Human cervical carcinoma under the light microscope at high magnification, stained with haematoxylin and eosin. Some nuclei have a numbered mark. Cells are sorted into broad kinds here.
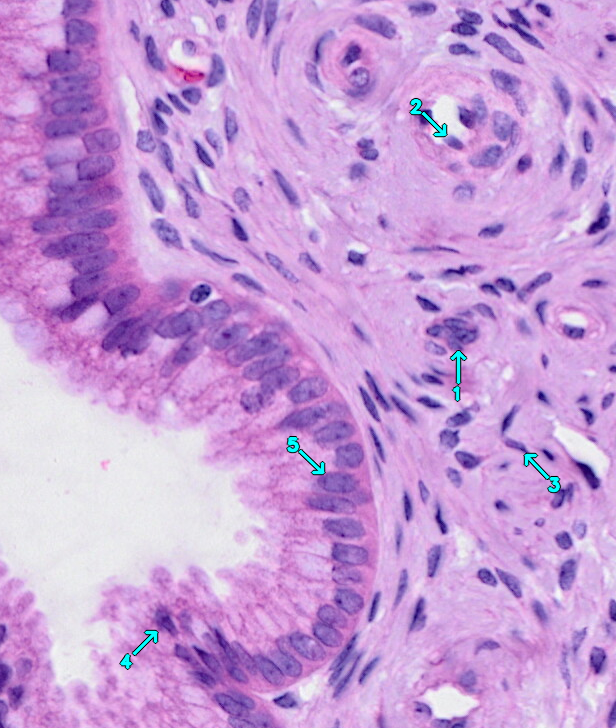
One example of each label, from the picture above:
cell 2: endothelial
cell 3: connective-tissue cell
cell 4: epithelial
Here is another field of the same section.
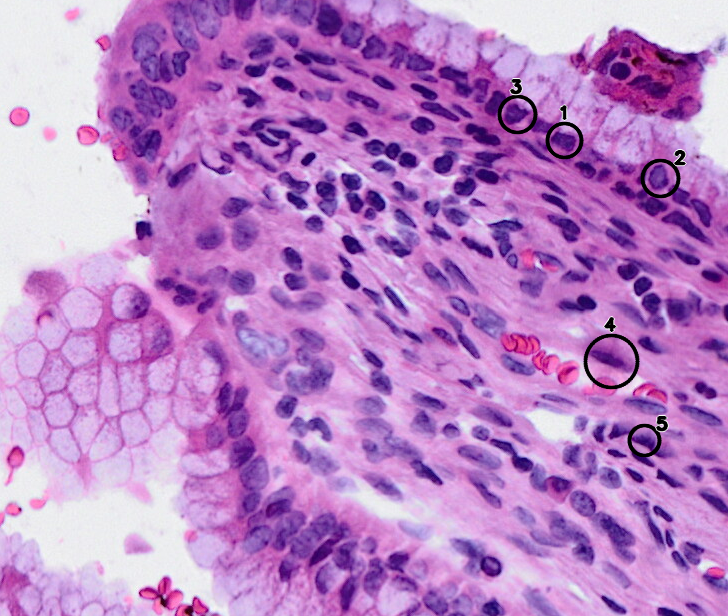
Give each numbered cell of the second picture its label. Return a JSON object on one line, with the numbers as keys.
{"1": "epithelial", "2": "epithelial", "3": "epithelial", "4": "endothelial", "5": "connective-tissue cell"}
